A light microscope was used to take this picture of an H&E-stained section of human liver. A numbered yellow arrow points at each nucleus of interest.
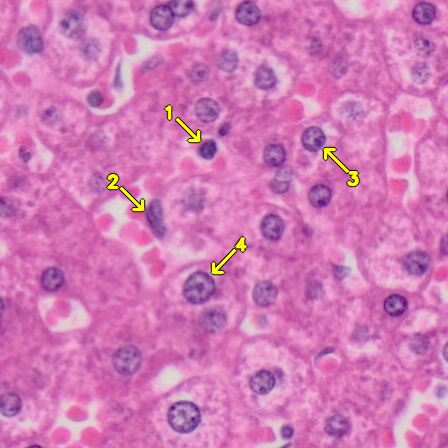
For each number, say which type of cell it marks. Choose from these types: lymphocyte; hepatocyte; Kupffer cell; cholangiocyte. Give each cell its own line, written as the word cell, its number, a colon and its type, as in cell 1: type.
cell 1: lymphocyte
cell 2: Kupffer cell
cell 3: hepatocyte
cell 4: hepatocyte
